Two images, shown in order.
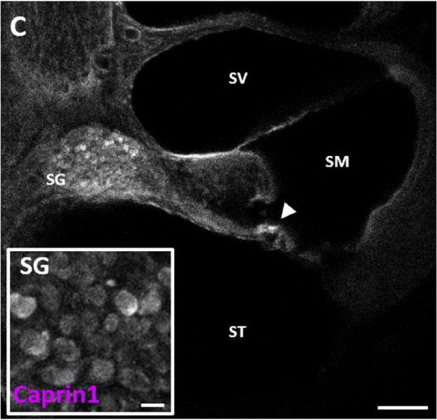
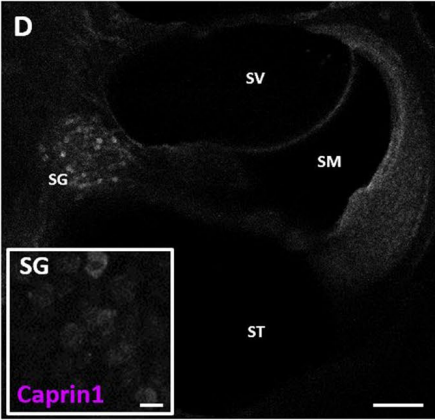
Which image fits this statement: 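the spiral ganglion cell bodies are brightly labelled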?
The first image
